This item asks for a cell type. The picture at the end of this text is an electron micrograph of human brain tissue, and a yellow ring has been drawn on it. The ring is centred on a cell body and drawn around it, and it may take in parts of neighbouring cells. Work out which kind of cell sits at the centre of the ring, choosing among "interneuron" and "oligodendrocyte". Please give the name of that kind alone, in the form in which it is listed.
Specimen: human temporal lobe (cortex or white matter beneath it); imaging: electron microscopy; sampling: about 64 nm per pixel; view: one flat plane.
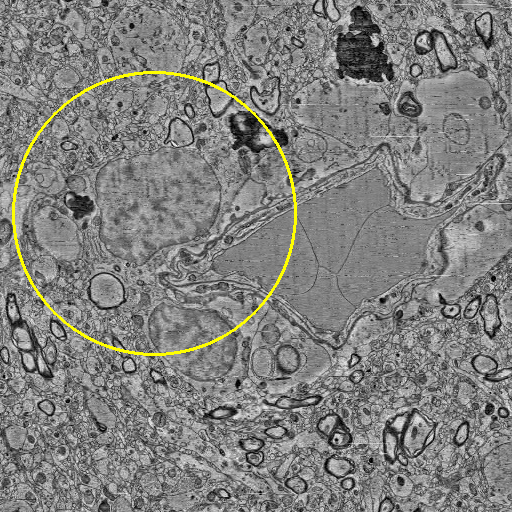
oligodendrocyte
